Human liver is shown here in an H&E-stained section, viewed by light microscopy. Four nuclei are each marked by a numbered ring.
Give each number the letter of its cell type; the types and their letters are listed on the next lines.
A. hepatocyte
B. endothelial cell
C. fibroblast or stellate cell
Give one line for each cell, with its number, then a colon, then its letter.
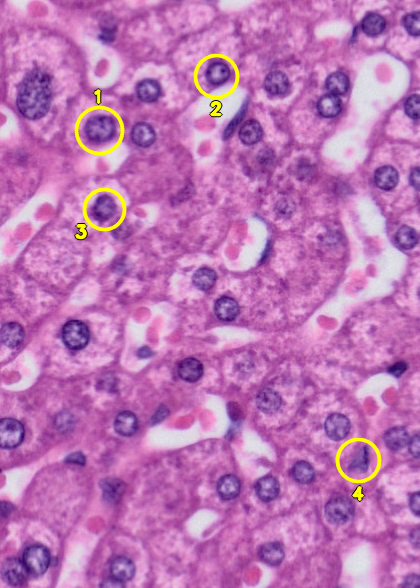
1: A
2: A
3: A
4: B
